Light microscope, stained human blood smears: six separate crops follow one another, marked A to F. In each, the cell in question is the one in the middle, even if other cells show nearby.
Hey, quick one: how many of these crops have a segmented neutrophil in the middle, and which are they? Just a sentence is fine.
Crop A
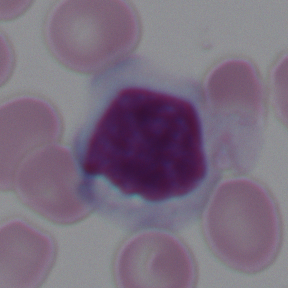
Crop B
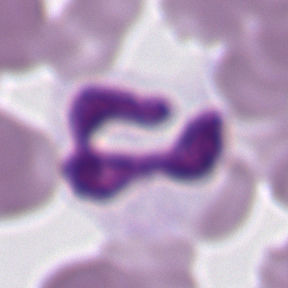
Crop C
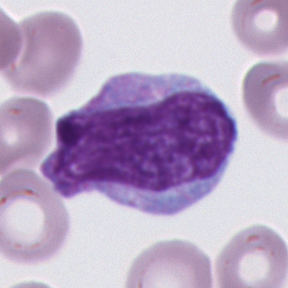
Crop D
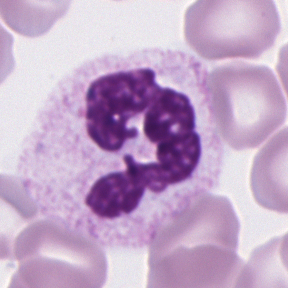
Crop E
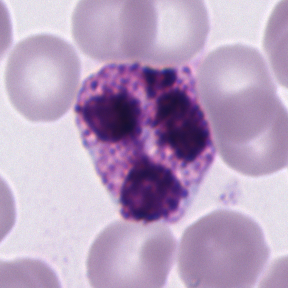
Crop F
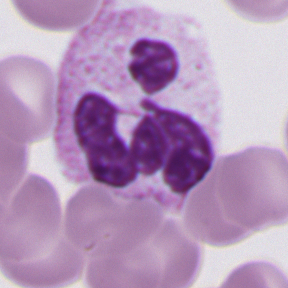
As for segmented neutrophils, these are shown in three crops, B, D and F.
